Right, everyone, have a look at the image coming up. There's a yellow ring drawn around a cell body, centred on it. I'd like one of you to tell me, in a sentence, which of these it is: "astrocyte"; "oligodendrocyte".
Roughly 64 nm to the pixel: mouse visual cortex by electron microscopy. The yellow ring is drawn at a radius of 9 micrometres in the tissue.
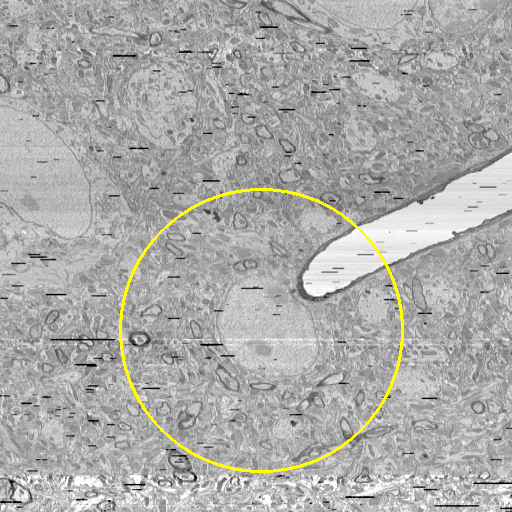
The yellow ring sits on an astrocyte.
